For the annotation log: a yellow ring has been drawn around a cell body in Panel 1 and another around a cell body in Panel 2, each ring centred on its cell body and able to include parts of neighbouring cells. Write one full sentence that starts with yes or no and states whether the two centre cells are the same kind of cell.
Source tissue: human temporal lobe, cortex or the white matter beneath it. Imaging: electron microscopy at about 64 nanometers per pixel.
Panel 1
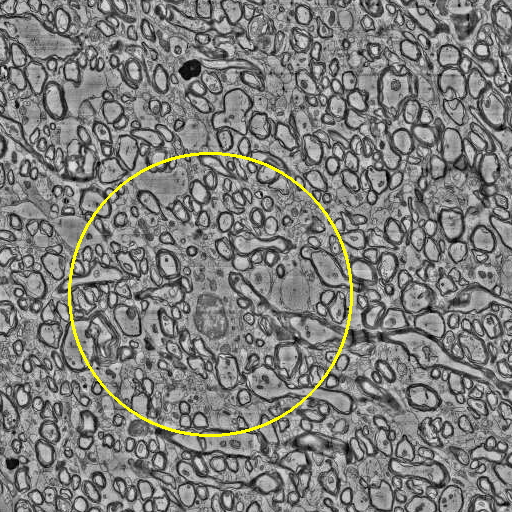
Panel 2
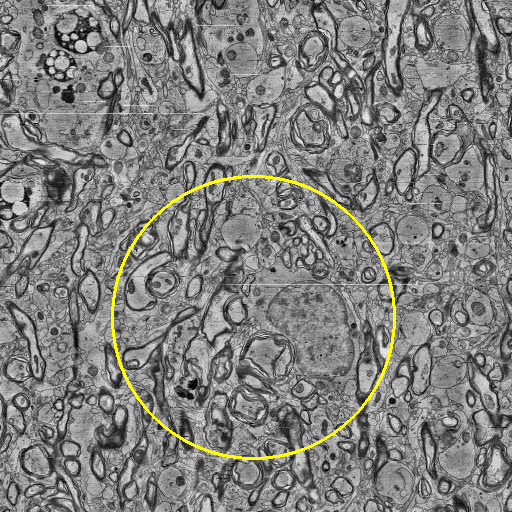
Yes, the two centre cells are the same kind of cell.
